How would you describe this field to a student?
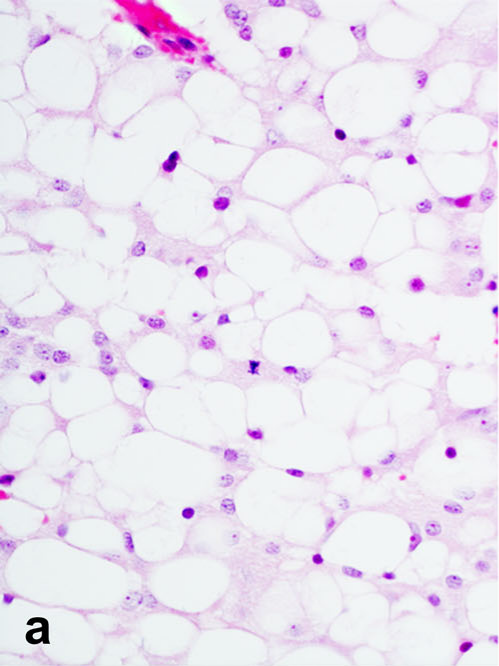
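The nuclei are round to oval, some pale with fine chromatin and others dark and compact, and they lie squeezed between the vacuoles in thin strands of pale pink cytoplasm. At the top edge a small bright pink area stands out from the otherwise pale tissue.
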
